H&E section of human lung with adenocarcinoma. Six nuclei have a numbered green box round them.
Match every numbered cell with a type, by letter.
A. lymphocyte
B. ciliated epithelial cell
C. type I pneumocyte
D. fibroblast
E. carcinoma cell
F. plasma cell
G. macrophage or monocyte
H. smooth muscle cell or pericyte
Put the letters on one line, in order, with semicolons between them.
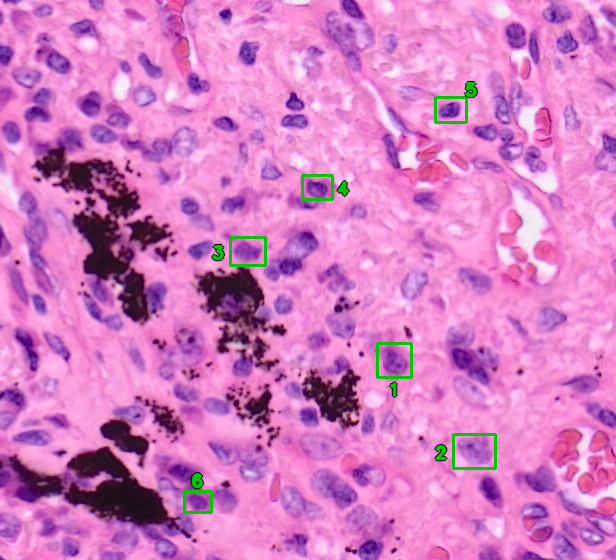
F; D; F; F; A; F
